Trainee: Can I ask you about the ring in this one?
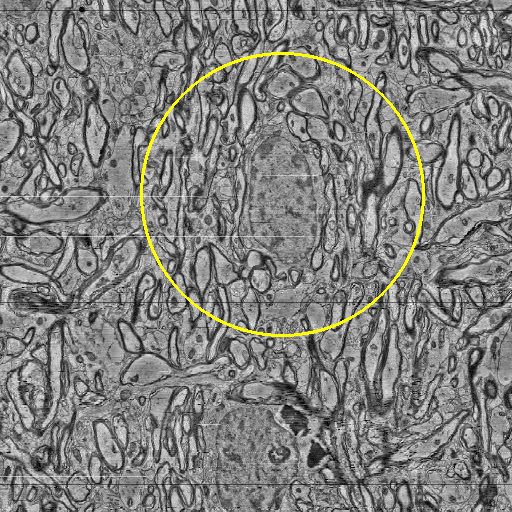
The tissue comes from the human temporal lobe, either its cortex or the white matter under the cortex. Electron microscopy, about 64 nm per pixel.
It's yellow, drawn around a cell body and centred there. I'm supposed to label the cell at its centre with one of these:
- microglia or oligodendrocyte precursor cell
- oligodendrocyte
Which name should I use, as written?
oligodendrocyte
